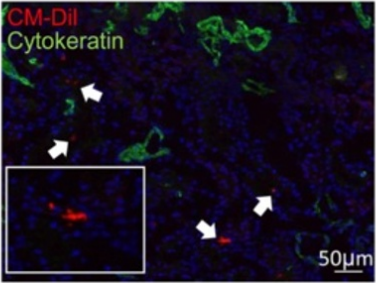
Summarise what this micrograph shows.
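Green outlines trace the contours of several tubular profiles of varying shape. A few small red fluorescent cells lie scattered in the tissue between these green-outlined profiles. An inset enlarges one red cell, which is small and irregular in outline.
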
